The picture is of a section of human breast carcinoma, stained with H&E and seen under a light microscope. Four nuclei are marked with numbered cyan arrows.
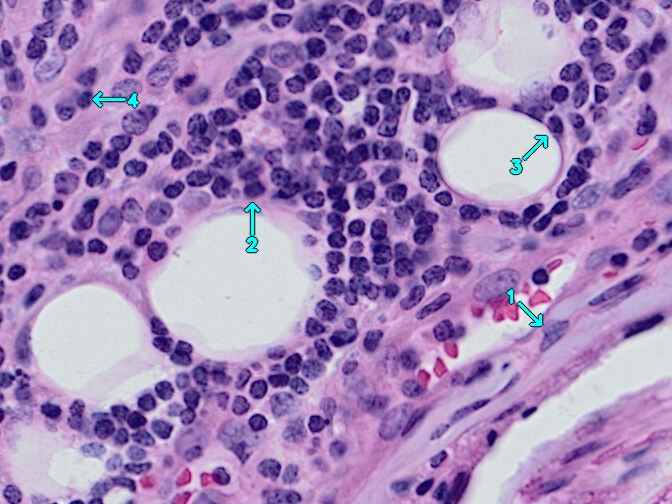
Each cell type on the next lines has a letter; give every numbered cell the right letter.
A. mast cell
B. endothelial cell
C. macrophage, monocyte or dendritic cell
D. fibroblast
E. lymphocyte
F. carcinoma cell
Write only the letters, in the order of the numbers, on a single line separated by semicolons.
B; E; E; E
